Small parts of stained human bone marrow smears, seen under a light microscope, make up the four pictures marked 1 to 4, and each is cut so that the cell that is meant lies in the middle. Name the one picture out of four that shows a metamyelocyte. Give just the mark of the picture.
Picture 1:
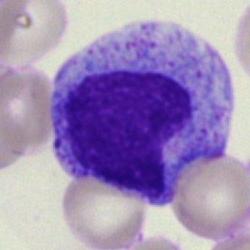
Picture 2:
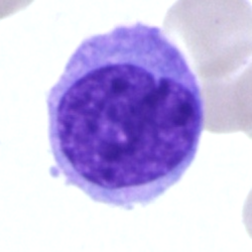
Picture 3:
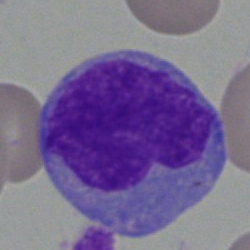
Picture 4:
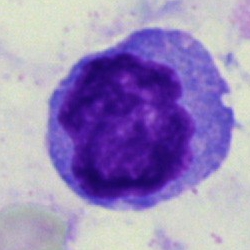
1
